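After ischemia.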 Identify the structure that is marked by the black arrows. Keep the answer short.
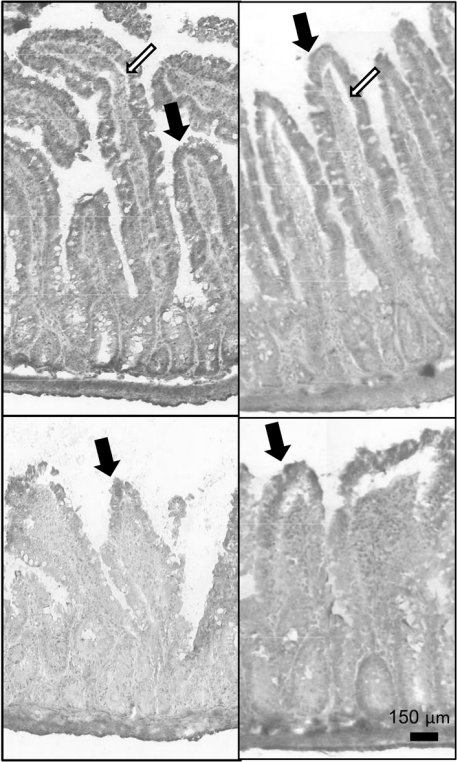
Villi.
